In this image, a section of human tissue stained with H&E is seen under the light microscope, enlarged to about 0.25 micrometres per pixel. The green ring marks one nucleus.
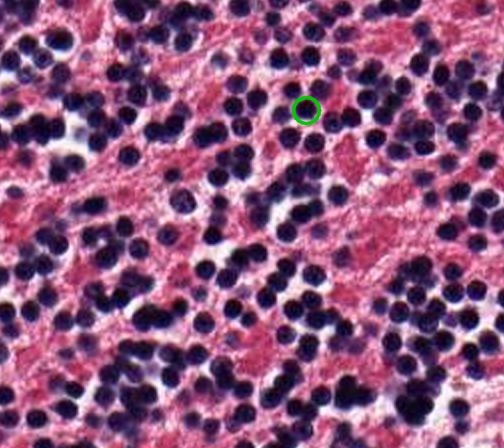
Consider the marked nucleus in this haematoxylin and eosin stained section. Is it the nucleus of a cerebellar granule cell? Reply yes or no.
yes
